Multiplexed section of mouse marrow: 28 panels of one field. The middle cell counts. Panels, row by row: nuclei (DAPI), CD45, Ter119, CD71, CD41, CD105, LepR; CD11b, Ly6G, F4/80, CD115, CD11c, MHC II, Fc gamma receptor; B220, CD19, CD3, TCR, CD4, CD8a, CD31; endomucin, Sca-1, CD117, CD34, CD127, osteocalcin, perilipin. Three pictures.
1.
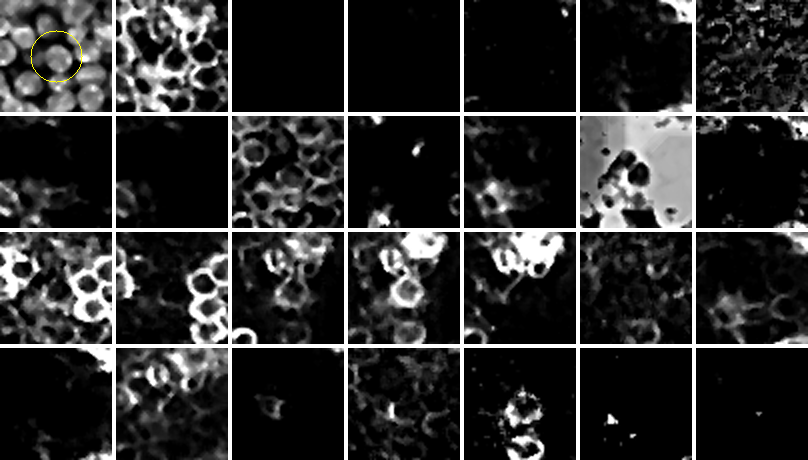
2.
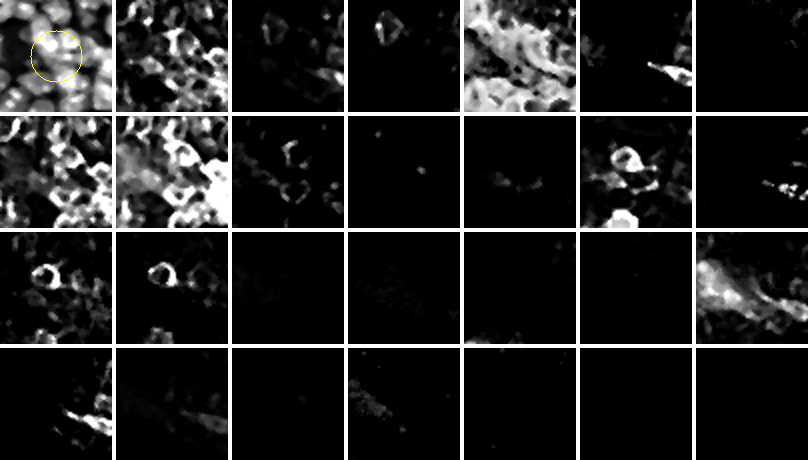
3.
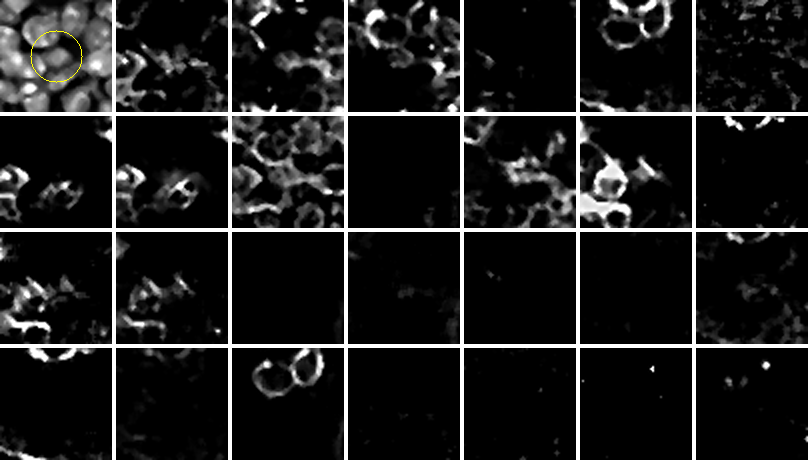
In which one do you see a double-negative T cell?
In picture 1.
